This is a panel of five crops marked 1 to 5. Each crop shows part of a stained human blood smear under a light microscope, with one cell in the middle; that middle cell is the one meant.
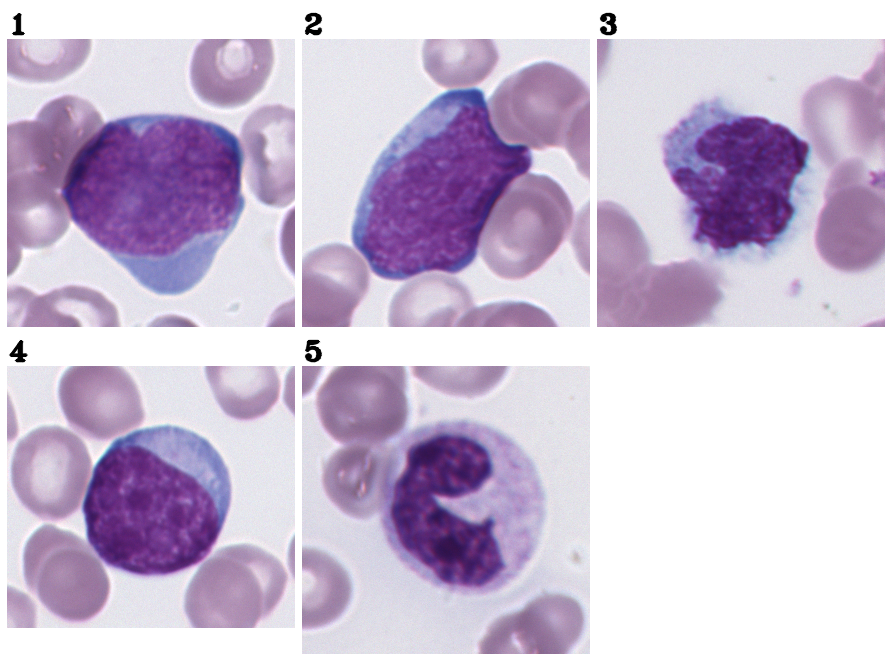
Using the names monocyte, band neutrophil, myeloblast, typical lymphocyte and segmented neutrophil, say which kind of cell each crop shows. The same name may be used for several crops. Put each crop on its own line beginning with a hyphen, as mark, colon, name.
- 1: myeloblast
- 2: myeloblast
- 3: monocyte
- 4: myeloblast
- 5: band neutrophil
